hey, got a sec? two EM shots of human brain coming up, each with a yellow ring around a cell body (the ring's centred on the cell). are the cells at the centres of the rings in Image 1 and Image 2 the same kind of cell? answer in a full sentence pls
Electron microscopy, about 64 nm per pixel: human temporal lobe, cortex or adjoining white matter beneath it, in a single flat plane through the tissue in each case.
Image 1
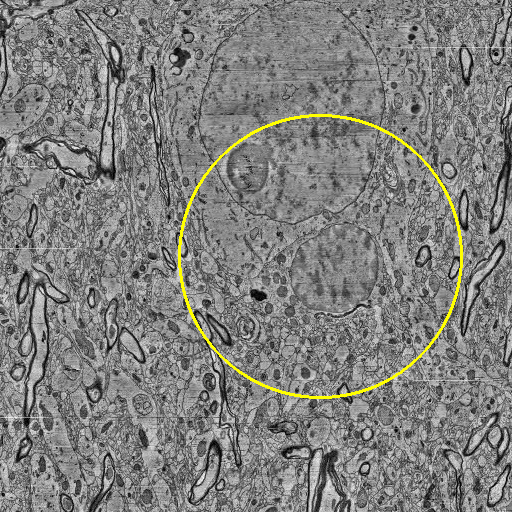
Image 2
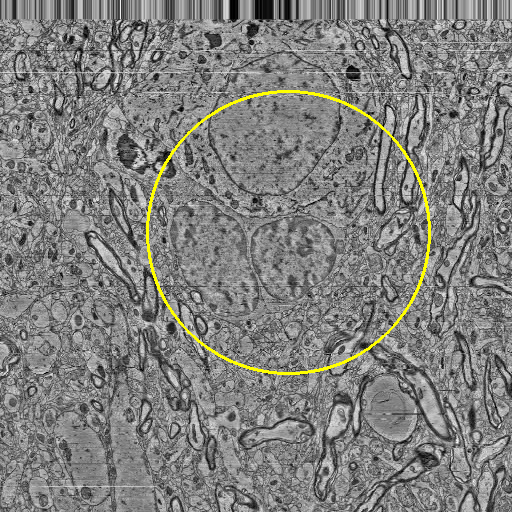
Yes, both are the same kind of cell.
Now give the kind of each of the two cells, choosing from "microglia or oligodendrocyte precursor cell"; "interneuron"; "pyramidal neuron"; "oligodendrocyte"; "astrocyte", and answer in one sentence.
Both cells are the same kind, each one being an oligodendrocyte.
